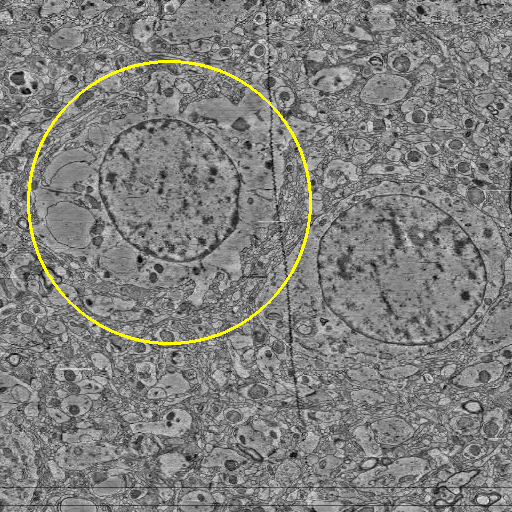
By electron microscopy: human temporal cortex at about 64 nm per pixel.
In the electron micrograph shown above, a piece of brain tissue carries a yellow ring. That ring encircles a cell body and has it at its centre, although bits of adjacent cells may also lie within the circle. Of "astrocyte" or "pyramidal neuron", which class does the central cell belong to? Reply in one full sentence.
The cell body at the centre of the yellow ring belongs to an astrocyte.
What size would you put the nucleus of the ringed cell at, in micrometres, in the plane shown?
The nucleus appears about 9 micrometres across in this plane.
